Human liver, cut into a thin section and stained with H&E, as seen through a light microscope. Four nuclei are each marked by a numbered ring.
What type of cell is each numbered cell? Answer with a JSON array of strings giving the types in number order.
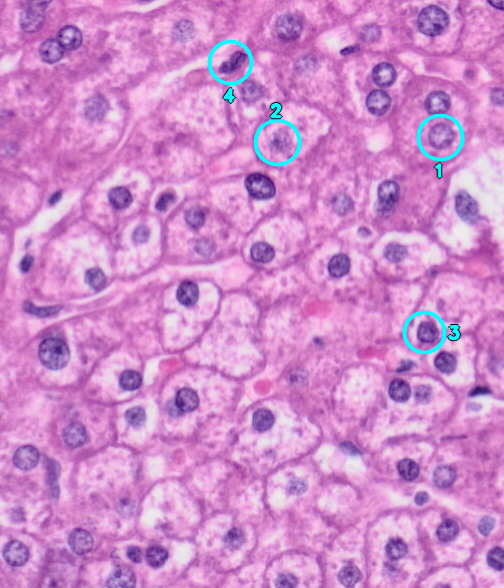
["hepatocyte", "hepatocyte", "hepatocyte", "Kupffer cell"]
